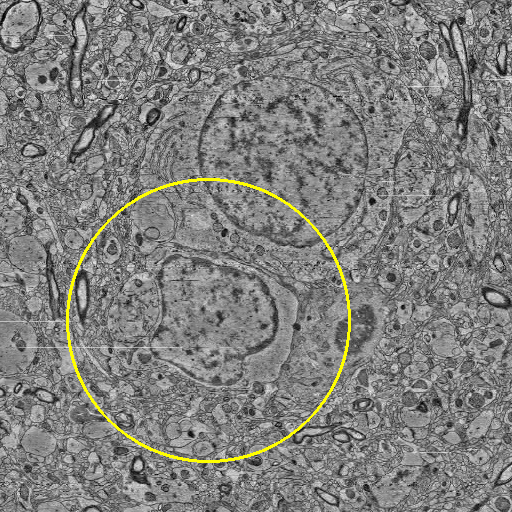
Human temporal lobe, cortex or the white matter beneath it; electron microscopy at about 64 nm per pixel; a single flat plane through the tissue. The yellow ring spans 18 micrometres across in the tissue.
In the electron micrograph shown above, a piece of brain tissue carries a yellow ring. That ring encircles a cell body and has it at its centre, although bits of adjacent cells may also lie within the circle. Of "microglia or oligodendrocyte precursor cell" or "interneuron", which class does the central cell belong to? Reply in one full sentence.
The cell body at the centre of the yellow ring belongs to a microglial cell or oligodendrocyte precursor cell.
